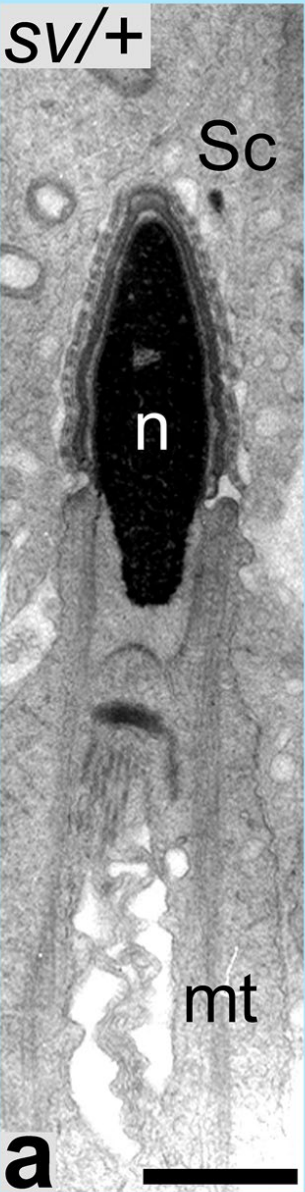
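An elongating spermatid head lies embedded in the surrounding Sertoli cell cytoplasm, its nucleus a narrow, pointed, almost black spindle of condensed chromatin. Thin, evenly spaced membrane layers cap the head closely along its sides and tip. Behind the nucleus long straight microtubule bundles of the manchette run back on either side, with a dense plate near the base of the head. This is the normal arrangement of a maturing spermatid held within its Sertoli cell.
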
